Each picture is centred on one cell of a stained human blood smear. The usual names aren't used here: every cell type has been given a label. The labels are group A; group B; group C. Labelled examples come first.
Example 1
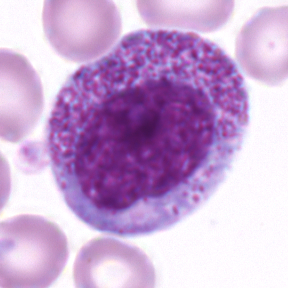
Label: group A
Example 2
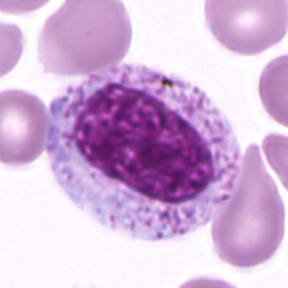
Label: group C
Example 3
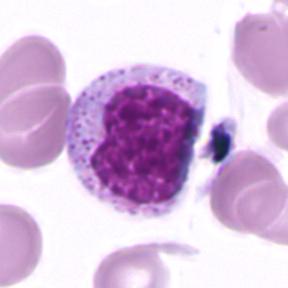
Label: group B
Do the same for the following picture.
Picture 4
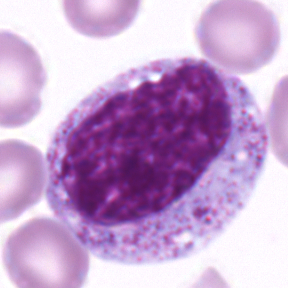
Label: group A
